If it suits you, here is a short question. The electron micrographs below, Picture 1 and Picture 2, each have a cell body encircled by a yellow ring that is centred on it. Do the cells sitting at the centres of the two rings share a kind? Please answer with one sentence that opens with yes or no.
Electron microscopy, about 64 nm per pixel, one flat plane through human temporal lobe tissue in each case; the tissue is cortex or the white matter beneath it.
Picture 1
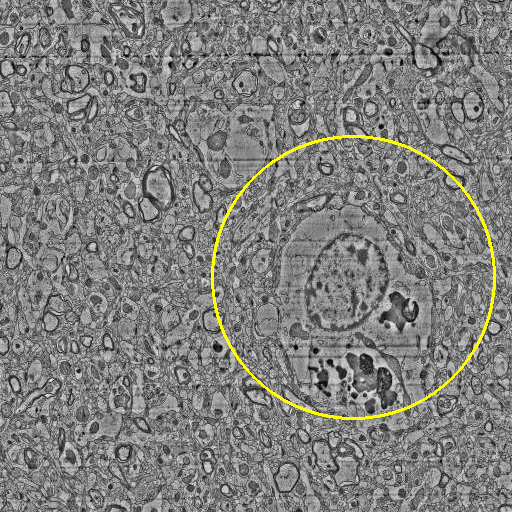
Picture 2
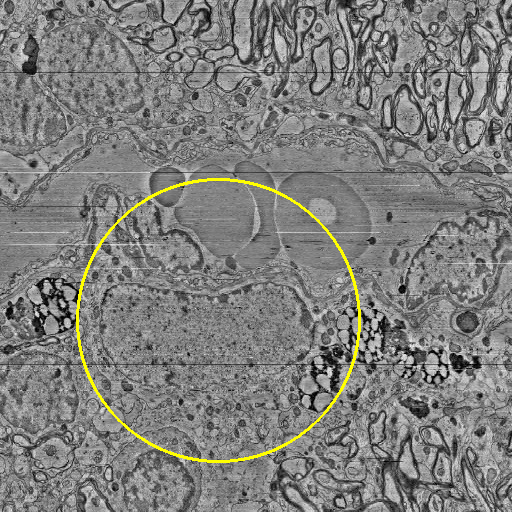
Yes, the two cells sitting at the ring centres share a single kind.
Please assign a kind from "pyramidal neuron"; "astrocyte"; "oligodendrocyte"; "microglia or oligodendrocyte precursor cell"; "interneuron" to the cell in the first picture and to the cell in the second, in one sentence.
Each of the ringed cells, first and second, is an astrocyte.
